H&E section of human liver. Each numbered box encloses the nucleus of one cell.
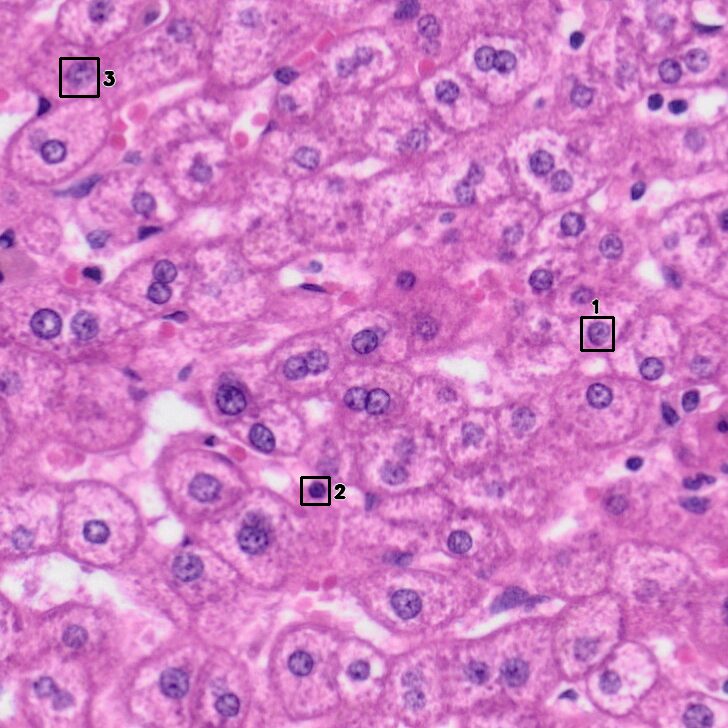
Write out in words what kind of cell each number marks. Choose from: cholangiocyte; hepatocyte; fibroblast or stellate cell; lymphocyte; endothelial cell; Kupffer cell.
Cells 1 and 3 are hepatocytes. Cell 2 is a lymphocyte.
